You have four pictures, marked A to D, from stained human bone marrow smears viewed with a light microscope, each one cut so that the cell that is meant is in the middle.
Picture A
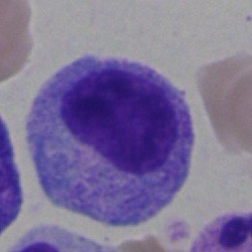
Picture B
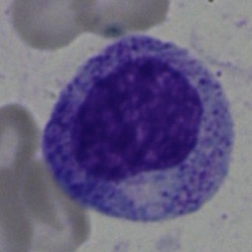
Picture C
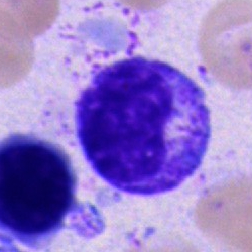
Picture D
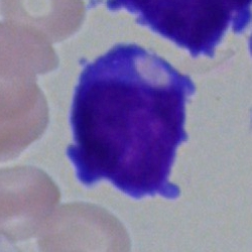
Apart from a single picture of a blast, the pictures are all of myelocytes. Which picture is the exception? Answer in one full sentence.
The blast is the one in picture D.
